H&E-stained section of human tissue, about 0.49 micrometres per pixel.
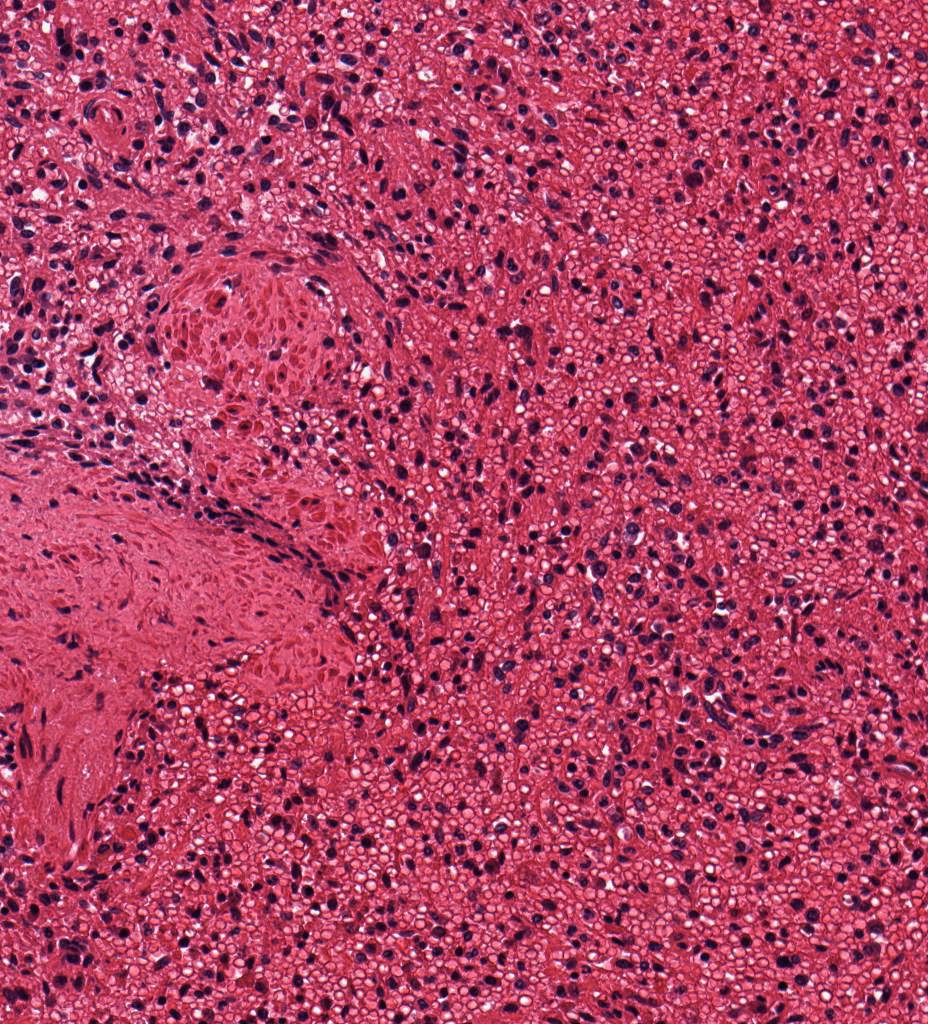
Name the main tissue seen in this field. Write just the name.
red pulp of the spleen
